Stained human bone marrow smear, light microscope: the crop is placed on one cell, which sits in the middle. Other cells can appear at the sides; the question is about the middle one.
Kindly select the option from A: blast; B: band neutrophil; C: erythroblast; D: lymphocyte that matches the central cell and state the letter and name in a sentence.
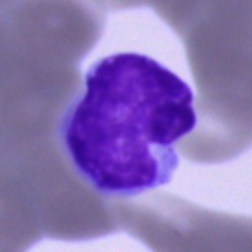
The one to choose is option D, as the cell in the middle is a lymphocyte.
